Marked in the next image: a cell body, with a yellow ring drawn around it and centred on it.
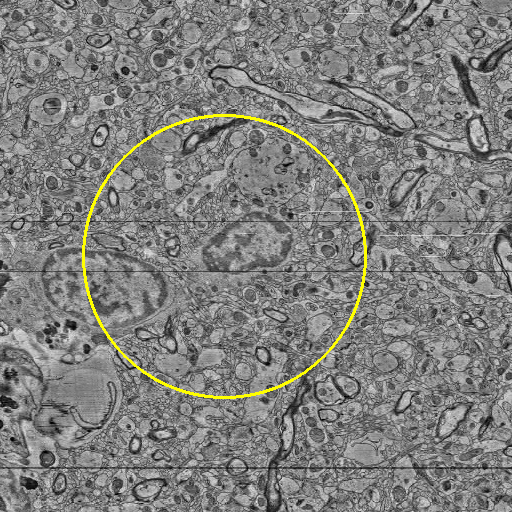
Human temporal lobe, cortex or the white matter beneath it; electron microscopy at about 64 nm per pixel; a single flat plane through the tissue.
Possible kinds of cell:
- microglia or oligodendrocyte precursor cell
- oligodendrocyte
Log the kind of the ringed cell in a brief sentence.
The ringed cell body is that of an oligodendrocyte.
